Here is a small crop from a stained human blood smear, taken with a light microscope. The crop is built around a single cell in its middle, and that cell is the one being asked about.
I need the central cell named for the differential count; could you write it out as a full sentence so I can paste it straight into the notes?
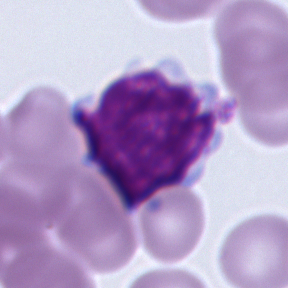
The central cell in this smear crop is a large granular lymphocyte.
